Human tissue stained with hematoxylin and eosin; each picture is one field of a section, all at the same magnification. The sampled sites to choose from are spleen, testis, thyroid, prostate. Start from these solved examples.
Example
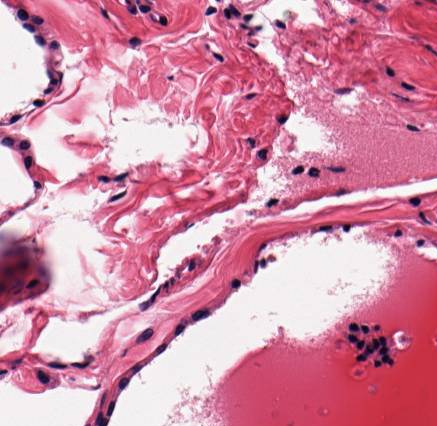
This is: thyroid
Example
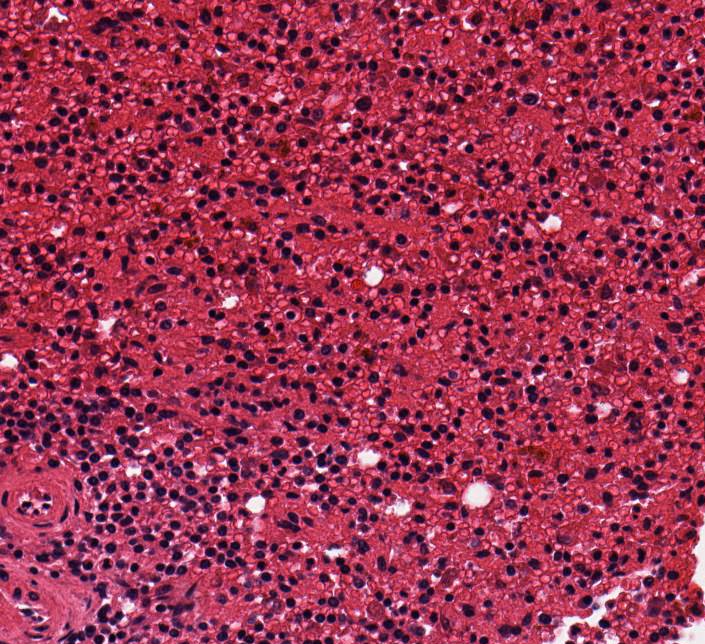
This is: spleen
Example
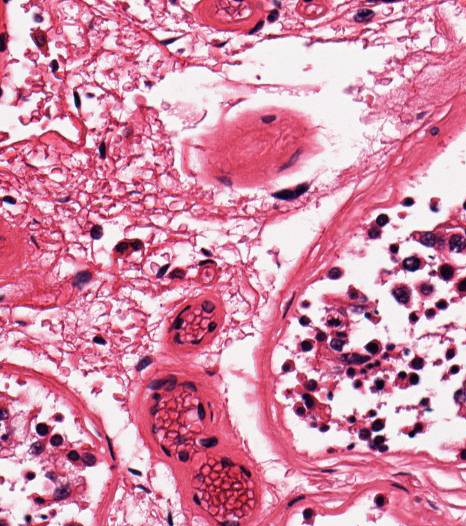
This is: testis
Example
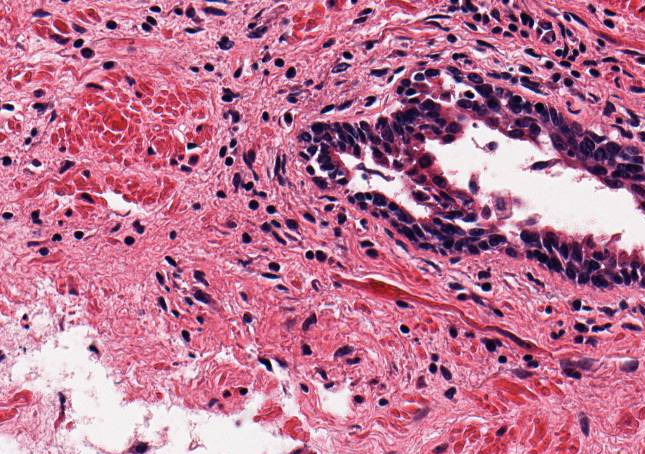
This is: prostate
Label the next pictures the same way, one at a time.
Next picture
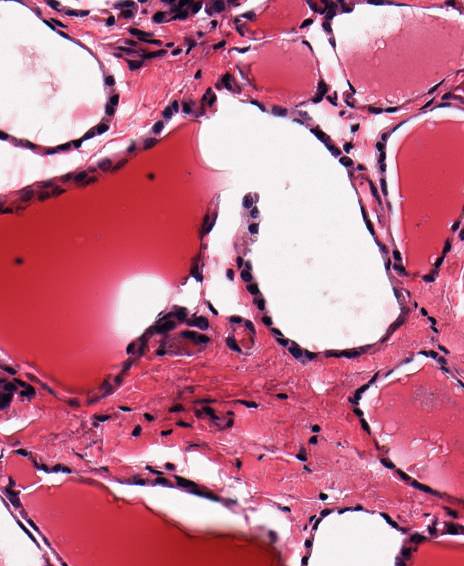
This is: thyroid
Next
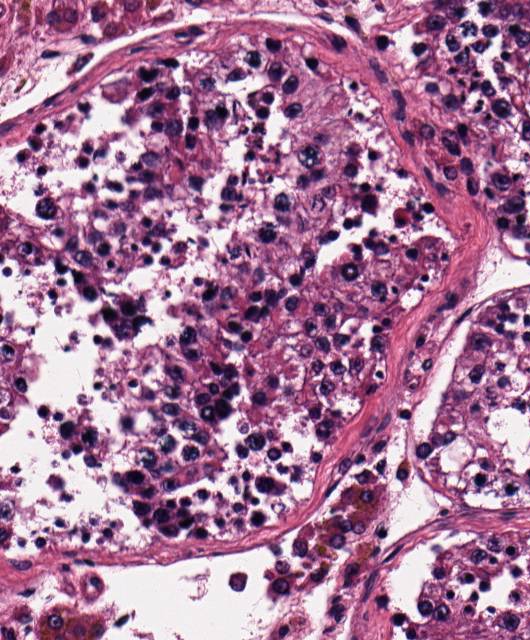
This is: testis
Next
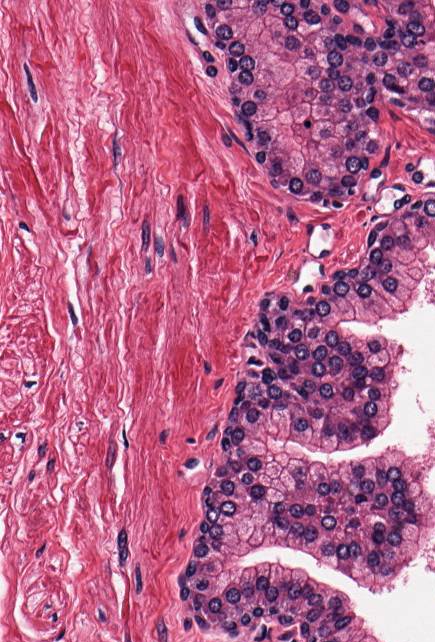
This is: prostate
